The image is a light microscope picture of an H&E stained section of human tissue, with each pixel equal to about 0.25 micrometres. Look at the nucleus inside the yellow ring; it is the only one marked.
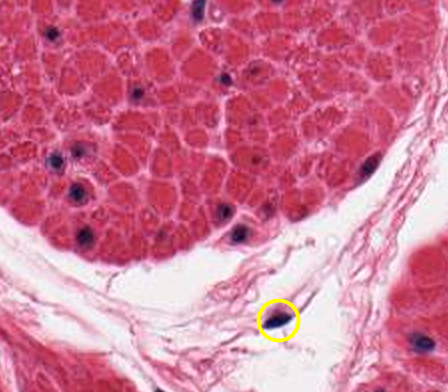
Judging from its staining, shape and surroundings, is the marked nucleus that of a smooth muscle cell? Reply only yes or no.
no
